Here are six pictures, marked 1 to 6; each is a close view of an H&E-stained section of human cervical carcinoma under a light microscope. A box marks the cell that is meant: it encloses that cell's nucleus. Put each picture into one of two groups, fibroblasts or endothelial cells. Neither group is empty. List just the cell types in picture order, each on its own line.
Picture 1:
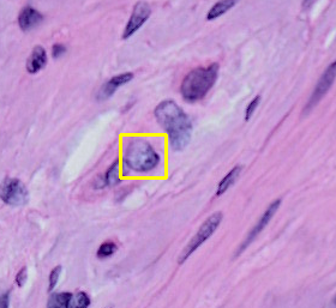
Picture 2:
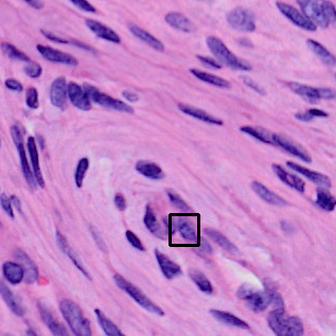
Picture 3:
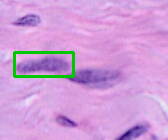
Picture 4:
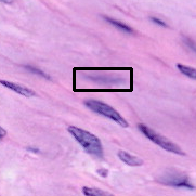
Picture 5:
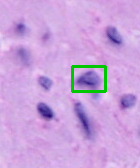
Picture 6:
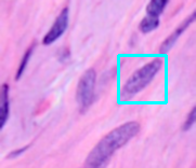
endothelial cell
endothelial cell
fibroblast
fibroblast
fibroblast
fibroblast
